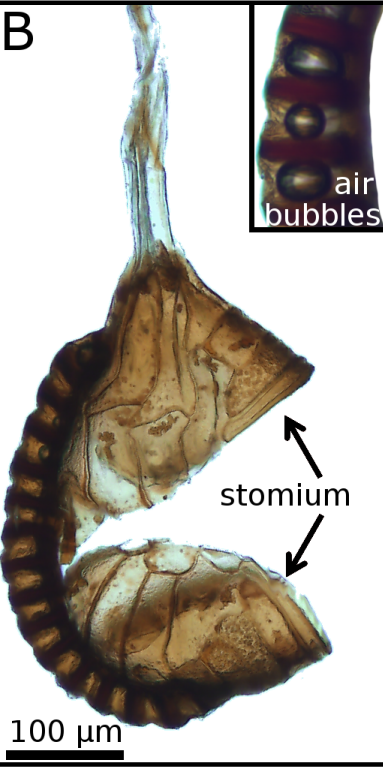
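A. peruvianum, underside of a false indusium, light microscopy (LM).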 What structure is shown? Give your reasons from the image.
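A translucent brown capsule on a stalk, gaping open into two halves. A curved row of dark thick-walled segments runs along one side. No spores are visible inside the capsule.
Ruptured empty sporangium.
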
